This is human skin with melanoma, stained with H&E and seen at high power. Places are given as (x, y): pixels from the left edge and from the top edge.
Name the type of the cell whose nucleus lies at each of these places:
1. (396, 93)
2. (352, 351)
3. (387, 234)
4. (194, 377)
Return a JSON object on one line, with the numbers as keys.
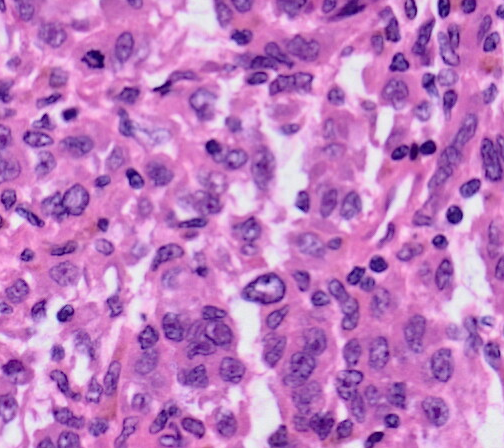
{"1": "melanoma cell", "2": "melanoma cell", "3": "endothelial cell", "4": "melanoma cell"}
